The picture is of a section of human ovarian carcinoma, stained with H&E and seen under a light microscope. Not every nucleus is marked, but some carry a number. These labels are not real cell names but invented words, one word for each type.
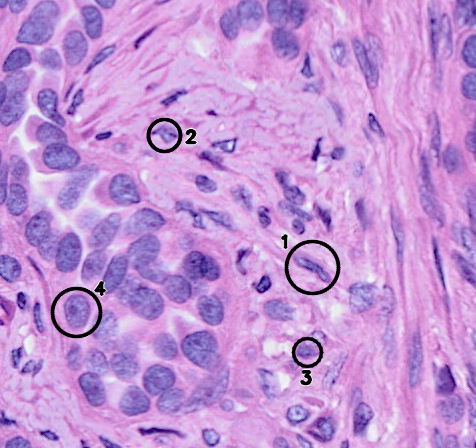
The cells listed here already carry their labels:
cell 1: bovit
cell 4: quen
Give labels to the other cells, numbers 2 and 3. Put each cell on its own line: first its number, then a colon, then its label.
2: bovit
3: bovit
